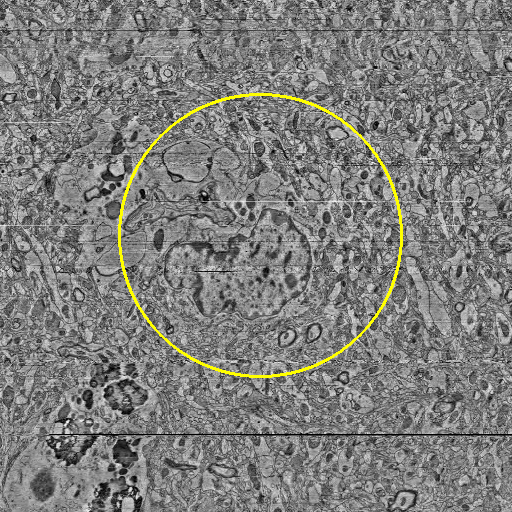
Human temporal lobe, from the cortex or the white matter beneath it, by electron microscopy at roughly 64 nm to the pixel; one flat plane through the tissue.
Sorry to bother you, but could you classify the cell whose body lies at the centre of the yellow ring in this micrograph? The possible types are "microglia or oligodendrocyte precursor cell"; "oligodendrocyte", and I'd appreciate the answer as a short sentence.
The ringed cell body is that of a microglial cell or oligodendrocyte precursor cell.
